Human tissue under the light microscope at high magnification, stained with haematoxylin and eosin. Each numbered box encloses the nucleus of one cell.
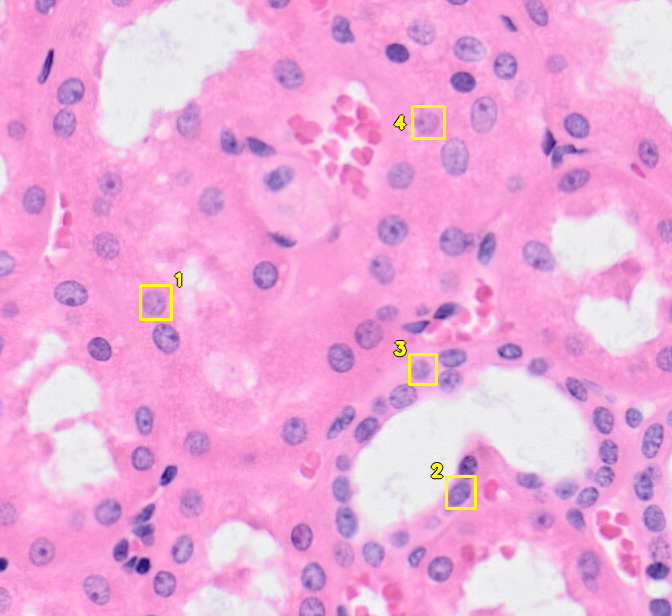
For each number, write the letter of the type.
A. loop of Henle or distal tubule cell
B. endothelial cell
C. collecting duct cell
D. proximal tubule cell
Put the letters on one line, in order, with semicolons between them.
D; C; C; D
